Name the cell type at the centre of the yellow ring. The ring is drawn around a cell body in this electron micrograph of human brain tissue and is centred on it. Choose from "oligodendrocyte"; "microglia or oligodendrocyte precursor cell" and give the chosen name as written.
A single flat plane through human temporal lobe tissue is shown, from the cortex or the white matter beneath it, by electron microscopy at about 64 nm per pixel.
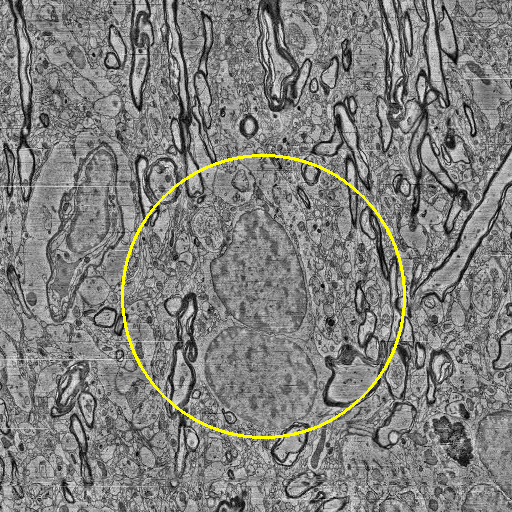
oligodendrocyte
